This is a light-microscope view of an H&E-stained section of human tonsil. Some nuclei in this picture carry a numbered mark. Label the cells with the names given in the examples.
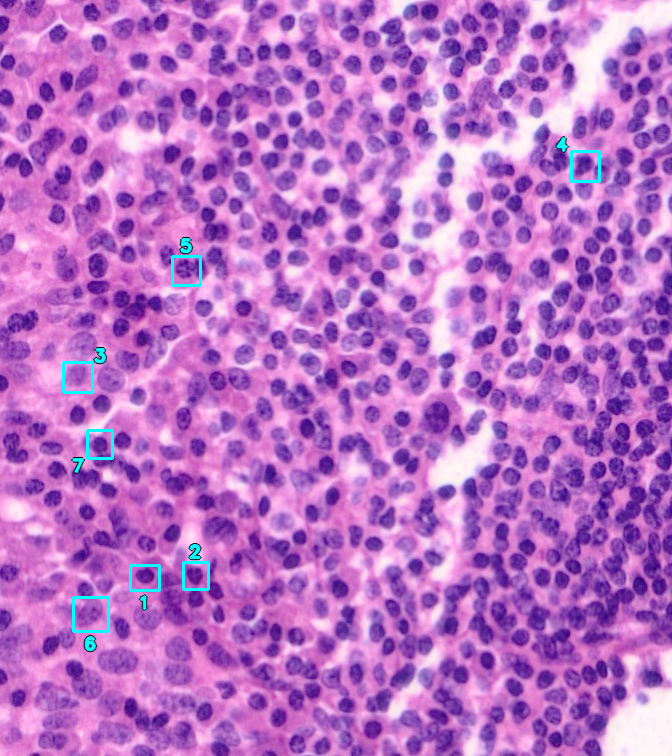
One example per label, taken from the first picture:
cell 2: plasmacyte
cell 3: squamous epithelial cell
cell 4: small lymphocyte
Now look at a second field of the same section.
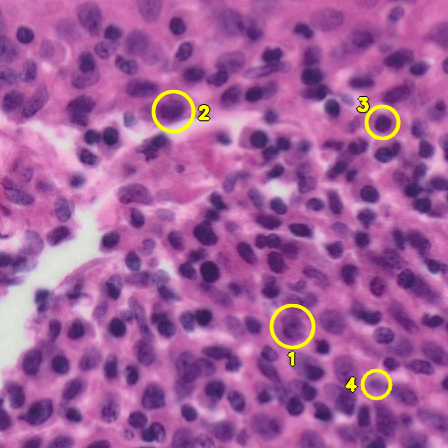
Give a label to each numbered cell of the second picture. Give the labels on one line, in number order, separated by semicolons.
squamous epithelial cell; squamous epithelial cell; plasmacyte; squamous epithelial cell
